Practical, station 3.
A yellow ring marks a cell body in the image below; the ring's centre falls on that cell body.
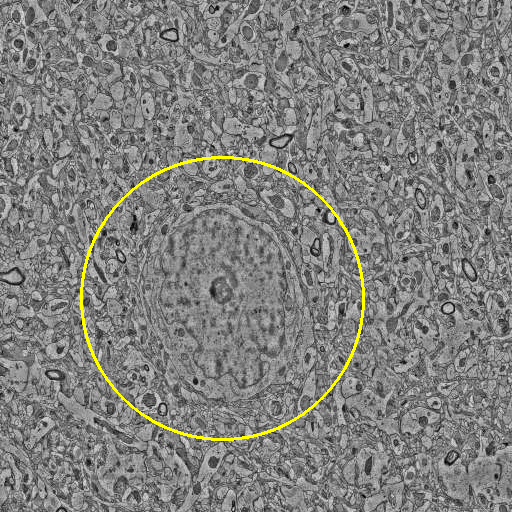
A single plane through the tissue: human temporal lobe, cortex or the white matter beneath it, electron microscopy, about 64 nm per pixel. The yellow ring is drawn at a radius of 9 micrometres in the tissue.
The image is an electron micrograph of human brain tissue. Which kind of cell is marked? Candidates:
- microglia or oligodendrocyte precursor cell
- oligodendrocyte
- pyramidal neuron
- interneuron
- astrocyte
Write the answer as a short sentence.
The marked cell body is that of an interneuron.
